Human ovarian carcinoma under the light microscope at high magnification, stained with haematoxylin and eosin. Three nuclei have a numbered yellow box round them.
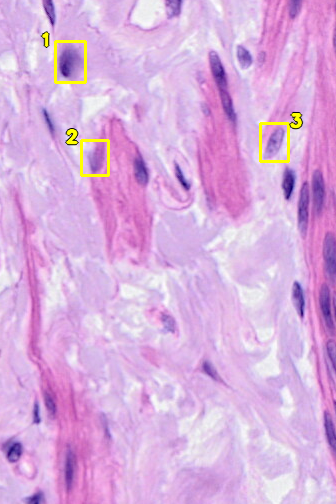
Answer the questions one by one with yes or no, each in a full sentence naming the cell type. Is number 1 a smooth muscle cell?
No, cell 1 is not a smooth muscle cell; it is a fibroblast.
